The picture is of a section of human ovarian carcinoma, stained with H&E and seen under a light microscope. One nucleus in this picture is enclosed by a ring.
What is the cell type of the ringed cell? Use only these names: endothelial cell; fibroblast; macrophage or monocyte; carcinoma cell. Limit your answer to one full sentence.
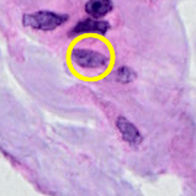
Placed in its cell category, the ringed cell is an endothelial cell.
